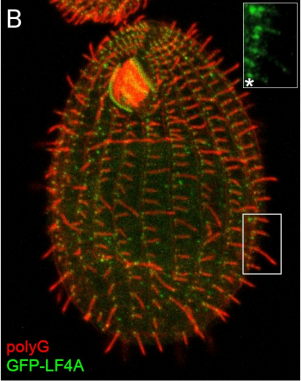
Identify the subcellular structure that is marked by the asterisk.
basal bodies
